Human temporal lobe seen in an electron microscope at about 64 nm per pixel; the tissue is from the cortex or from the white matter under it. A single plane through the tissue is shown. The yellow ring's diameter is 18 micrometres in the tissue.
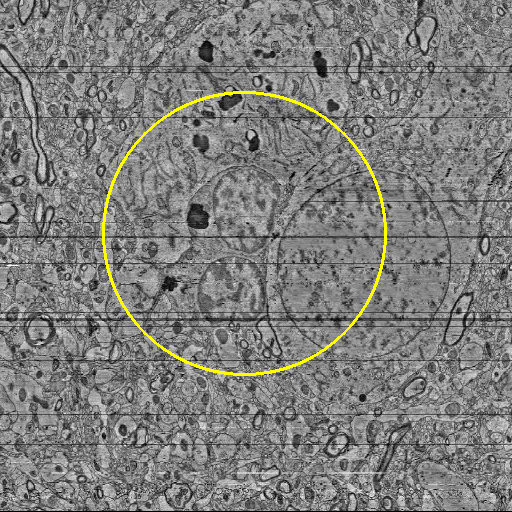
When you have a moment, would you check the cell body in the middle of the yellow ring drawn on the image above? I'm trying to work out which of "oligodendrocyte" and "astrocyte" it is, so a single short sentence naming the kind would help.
This cell body belongs to an oligodendrocyte.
